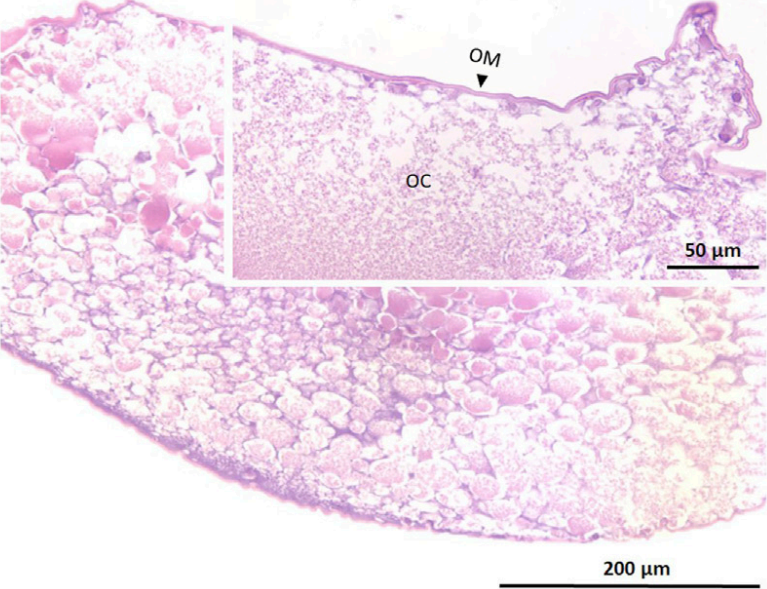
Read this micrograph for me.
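This is the edge of a large maturing oocyte whose cytoplasm is filled with rounded pink globules and pale vacuoles, more finely granular toward the surface. The inset shows the oocyte bounded only by a thin pink membrane, without a continuous layer of flattened nucleated cells along it.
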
